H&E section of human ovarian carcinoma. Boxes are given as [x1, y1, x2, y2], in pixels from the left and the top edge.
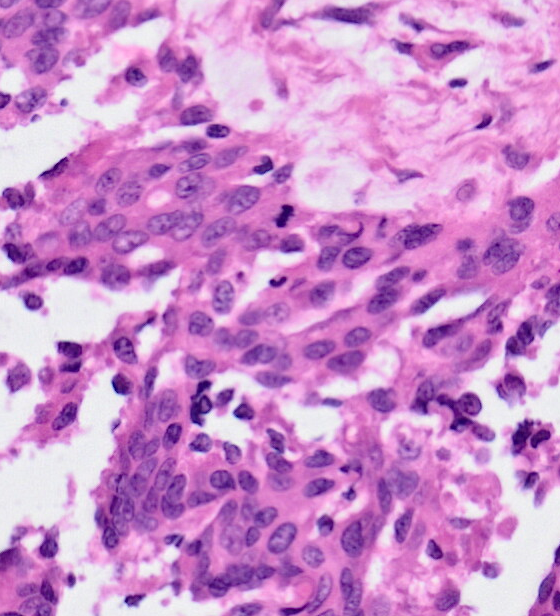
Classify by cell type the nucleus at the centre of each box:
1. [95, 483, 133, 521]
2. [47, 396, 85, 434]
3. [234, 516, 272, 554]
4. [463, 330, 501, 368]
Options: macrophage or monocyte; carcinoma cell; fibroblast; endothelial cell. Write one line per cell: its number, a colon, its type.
1: carcinoma cell
2: macrophage or monocyte
3: carcinoma cell
4: carcinoma cell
